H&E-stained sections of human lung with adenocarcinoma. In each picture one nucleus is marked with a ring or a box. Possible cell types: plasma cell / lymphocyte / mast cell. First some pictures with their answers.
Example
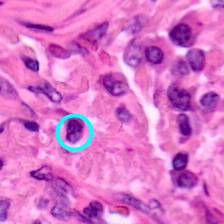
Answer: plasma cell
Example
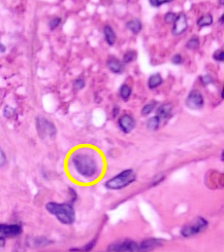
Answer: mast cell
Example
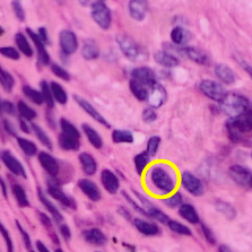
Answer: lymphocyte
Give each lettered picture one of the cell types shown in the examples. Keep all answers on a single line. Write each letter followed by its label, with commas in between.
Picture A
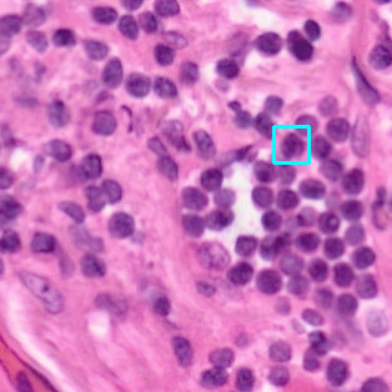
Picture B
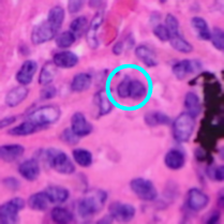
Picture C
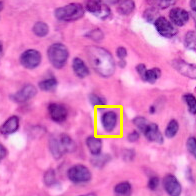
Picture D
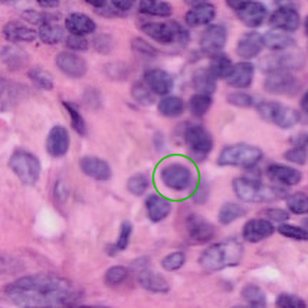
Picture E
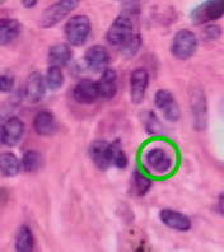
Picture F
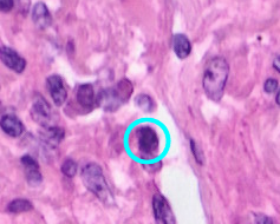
A lymphocyte, B lymphocyte, C lymphocyte, D lymphocyte, E lymphocyte, F plasma cell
